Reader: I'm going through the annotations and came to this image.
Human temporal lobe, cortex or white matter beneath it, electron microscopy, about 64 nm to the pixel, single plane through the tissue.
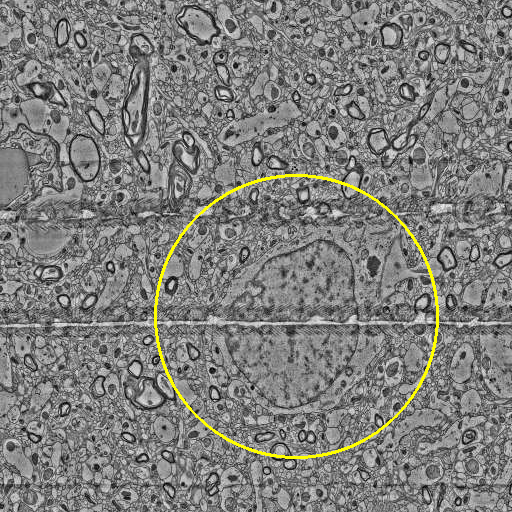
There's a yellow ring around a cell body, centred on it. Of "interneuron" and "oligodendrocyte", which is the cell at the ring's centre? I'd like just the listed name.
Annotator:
interneuron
